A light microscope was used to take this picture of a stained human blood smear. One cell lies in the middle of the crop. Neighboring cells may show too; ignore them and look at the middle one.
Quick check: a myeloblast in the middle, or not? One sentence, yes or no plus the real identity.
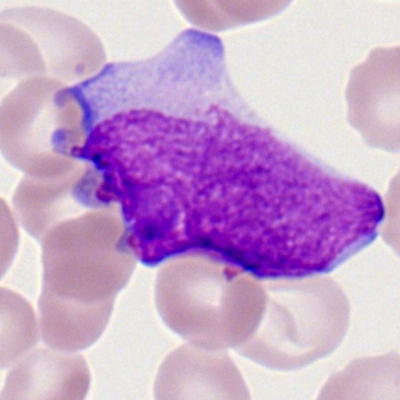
Yes, the identification of the central cell as a myeloblast is correct.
